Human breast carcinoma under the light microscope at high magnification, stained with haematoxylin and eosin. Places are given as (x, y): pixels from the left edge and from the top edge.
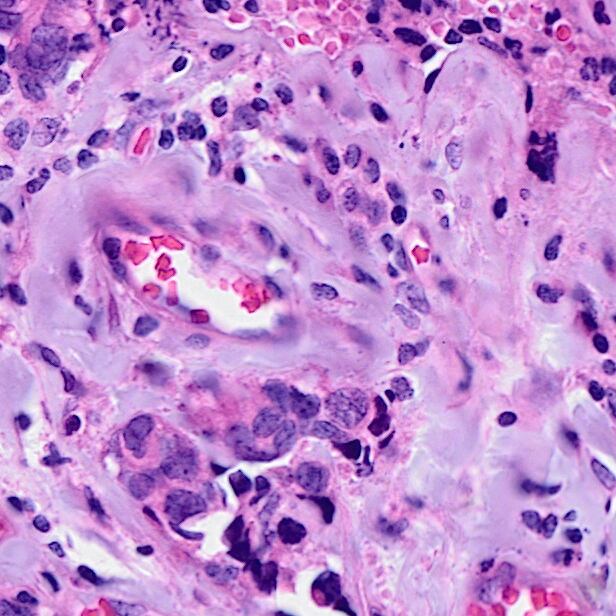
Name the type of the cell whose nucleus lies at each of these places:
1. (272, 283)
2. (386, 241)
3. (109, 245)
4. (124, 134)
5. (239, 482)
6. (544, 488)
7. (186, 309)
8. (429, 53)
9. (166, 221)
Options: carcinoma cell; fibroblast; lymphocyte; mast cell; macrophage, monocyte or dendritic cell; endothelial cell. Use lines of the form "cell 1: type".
cell 1: endothelial cell
cell 2: lymphocyte
cell 3: endothelial cell
cell 4: endothelial cell
cell 5: carcinoma cell
cell 6: lymphocyte
cell 7: endothelial cell
cell 8: lymphocyte
cell 9: endothelial cell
